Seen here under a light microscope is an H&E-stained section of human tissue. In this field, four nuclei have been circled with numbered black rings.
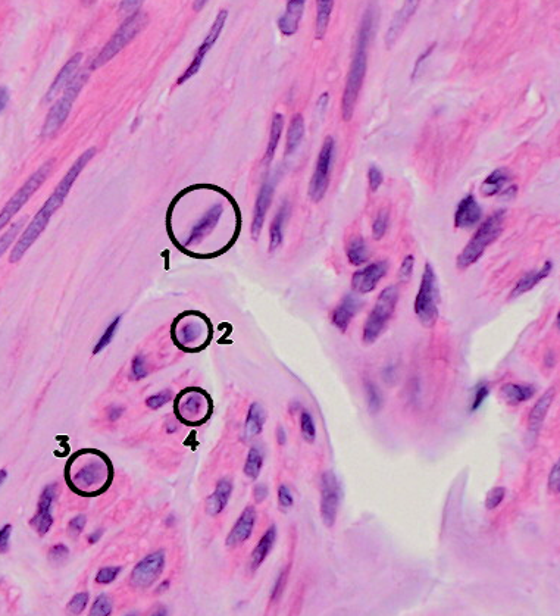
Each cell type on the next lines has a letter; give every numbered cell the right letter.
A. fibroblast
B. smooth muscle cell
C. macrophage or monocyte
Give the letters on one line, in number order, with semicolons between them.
A; B; B; B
